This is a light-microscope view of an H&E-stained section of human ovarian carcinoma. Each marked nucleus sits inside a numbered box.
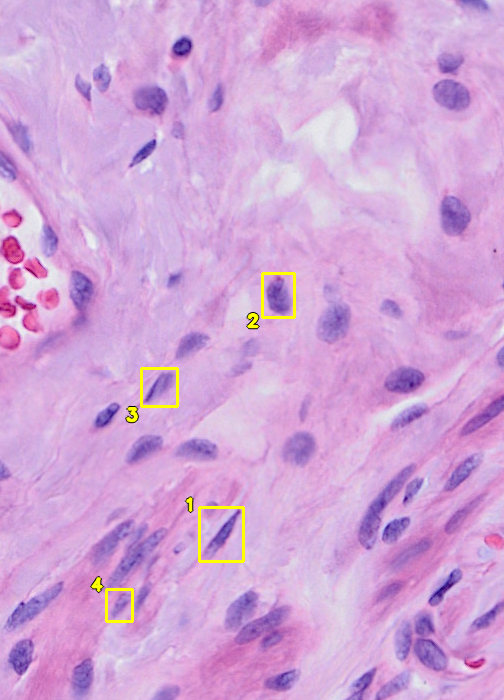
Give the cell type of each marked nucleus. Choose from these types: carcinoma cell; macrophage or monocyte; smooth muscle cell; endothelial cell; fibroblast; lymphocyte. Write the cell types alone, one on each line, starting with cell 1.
smooth muscle cell
fibroblast
fibroblast
smooth muscle cell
